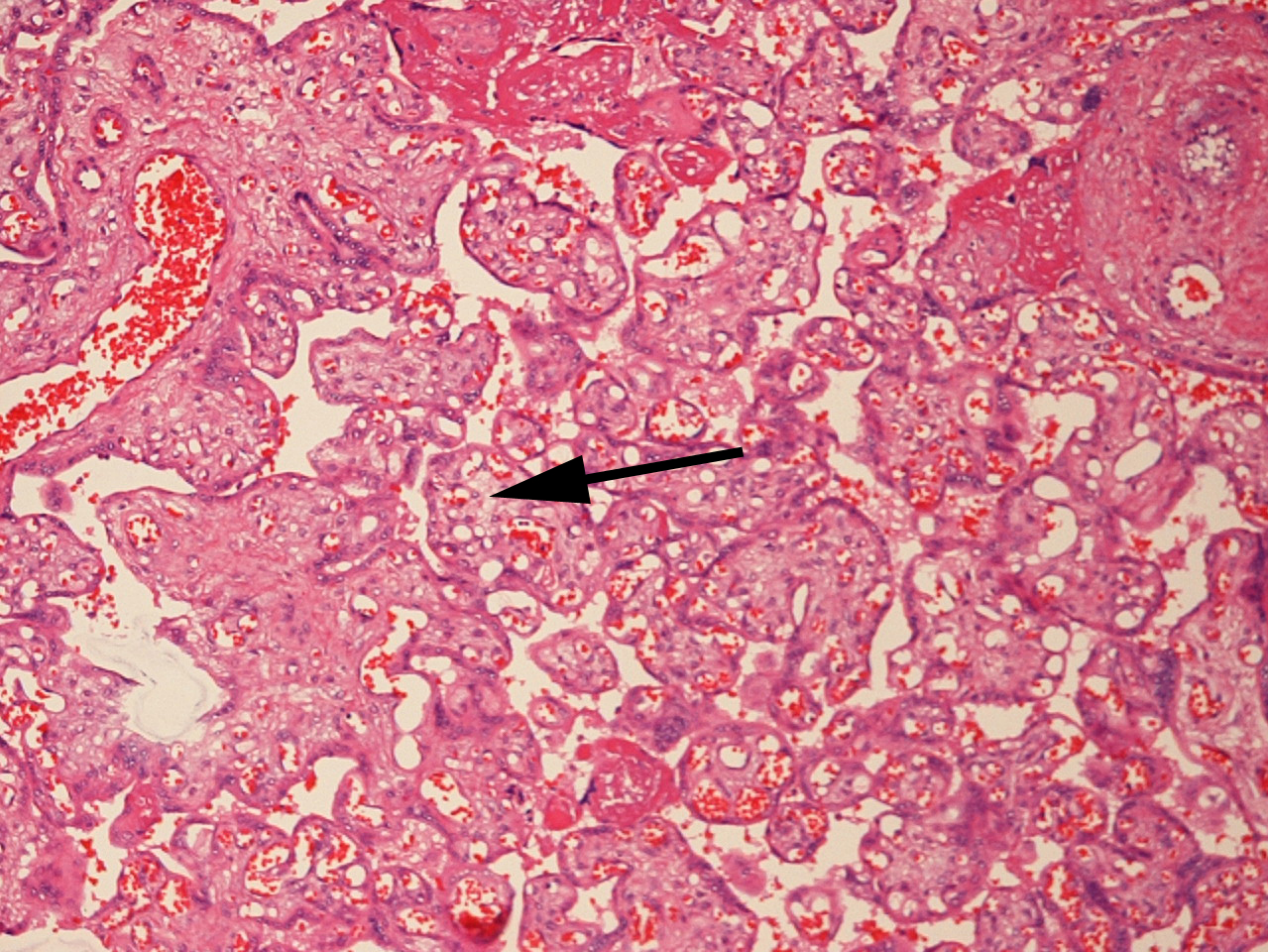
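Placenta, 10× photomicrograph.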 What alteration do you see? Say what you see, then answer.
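Many small villi each hold numerous capillary lumina. Capillaries crowd the villous stroma across the field. Finding is diffuse over many villi, not confined to one spot.
Answer: chorangiosis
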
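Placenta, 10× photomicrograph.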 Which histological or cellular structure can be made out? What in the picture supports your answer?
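Numerous small rounded villous profiles separated by clear intervillous space. Each profile is bordered by a thin rim of trophoblast with dark nuclei. Larger stem villi with thick-walled vessels appear at the edges. That points to this answer: terminal villi.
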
